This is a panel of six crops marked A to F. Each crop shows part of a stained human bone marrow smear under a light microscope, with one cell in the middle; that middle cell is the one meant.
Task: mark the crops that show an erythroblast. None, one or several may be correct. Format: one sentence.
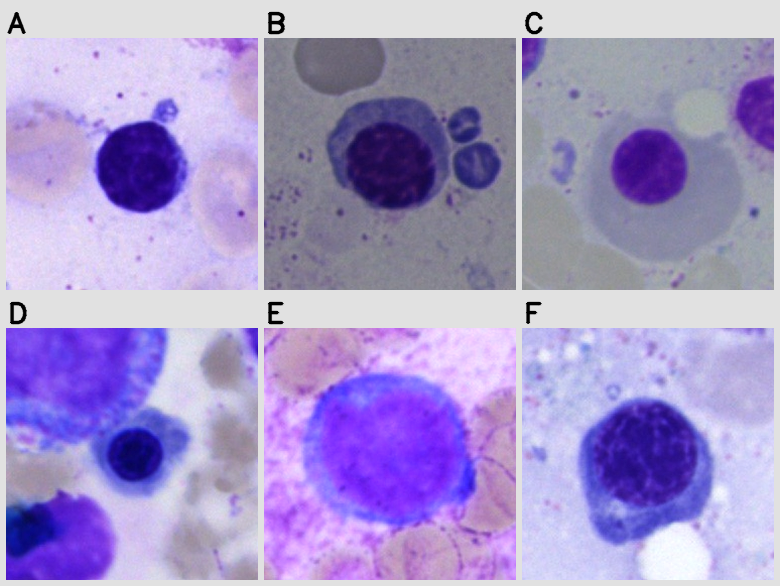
Form entry, crops B, C, D and F: central cells are erythroblasts.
